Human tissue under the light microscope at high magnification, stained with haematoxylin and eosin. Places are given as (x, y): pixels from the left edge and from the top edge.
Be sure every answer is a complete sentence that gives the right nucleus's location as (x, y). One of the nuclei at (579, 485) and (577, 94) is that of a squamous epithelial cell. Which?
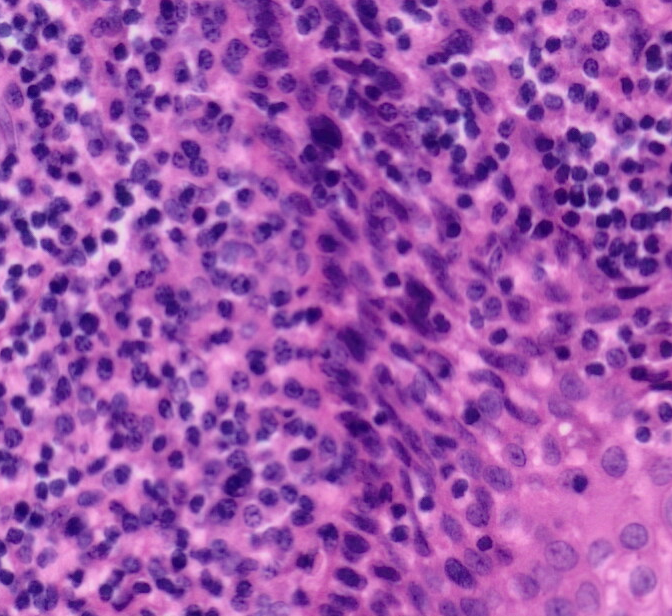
The nucleus positioned at (579, 485) forms part of a squamous epithelial cell.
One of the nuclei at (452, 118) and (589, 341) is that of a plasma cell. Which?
The nucleus at (589, 341) is assigned to a plasma cell.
